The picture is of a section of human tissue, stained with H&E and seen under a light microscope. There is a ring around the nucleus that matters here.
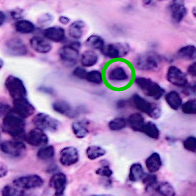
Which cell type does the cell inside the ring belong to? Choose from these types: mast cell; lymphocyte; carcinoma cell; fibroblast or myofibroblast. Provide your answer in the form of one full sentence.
What the cell inside the ring represents is a lymphocyte.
